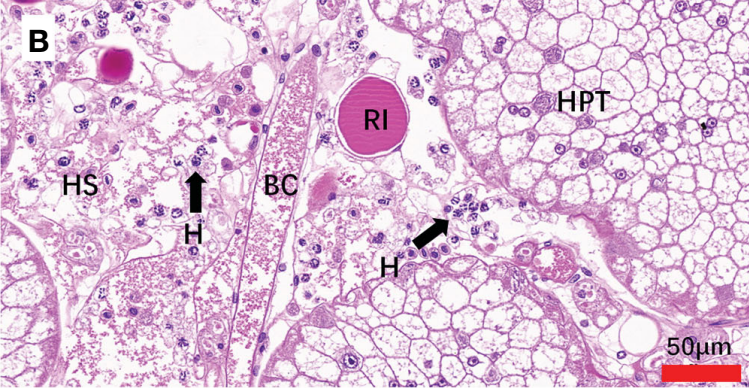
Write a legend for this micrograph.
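This is crustacean hepatopancreas, with tubules made of tall epithelial cells whose cytoplasm is pale and vacuolated, so that in cross section they form a honeycomb of polygonal outlines. Between the tubules lie loose hemal spaces containing scattered cells with dark, clumped nuclei, and a long blood channel runs through the middle packed with small pink-staining bodies. Beside the channel sits a large round cell filled with a uniform, deeply pink-staining inclusion, a reserve inclusion cell.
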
